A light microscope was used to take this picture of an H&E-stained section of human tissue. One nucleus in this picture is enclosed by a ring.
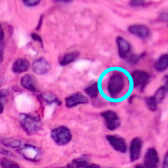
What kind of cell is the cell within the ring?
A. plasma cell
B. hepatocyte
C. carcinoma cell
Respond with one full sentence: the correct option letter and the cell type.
Option A stands as correct, with the cell within the ring being a plasma cell.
